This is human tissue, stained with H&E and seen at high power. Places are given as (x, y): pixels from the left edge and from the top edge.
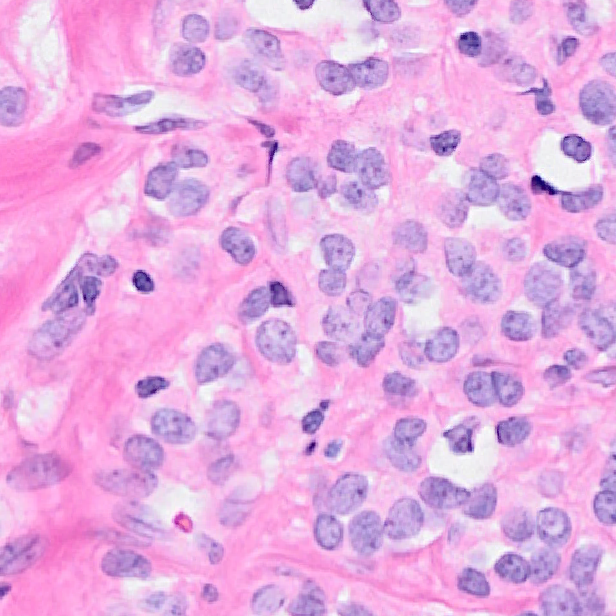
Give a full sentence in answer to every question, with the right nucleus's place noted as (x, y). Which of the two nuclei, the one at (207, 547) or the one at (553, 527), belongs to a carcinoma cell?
Of the pair, the nucleus positioned at (553, 527) is that of a carcinoma cell.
